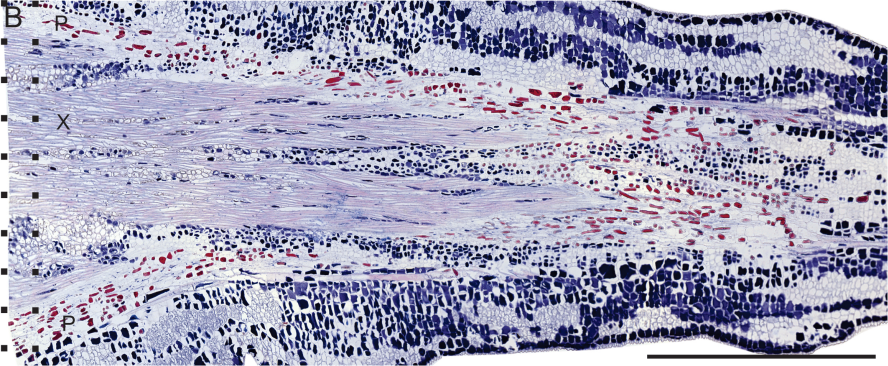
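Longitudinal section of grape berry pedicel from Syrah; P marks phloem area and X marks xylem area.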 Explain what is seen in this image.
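This lengthwise section through a plant stalk shows a central core of long, narrow, thin-walled cells stained pale purple, running in streaks along the organ's axis. Toward the outside, many small, rounded cells stain very dark blue, packed in irregular rows.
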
